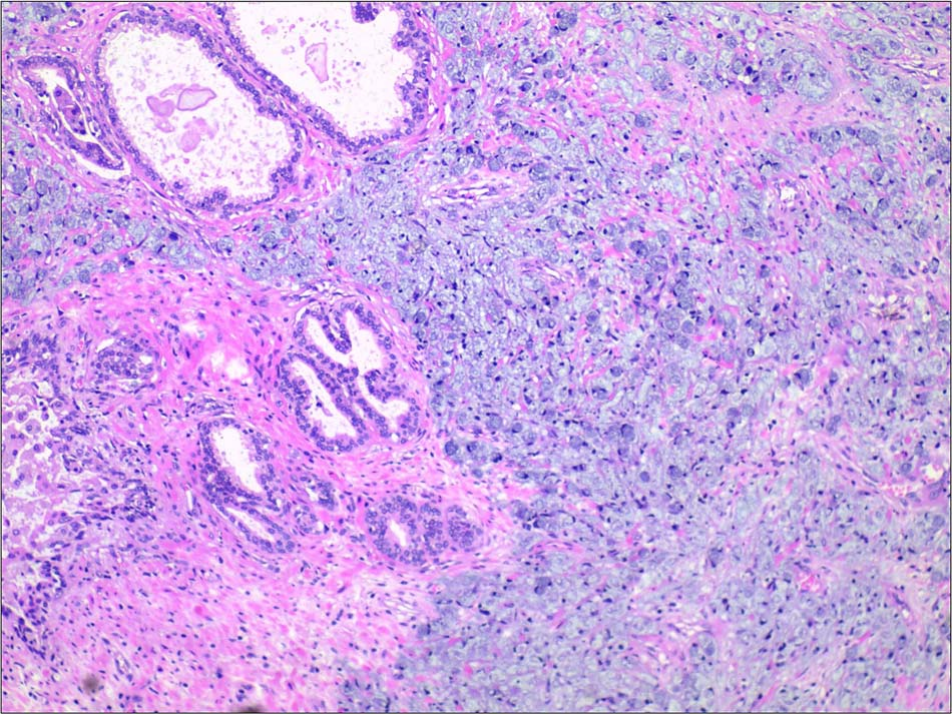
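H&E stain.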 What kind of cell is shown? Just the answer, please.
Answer: signet-ring cells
